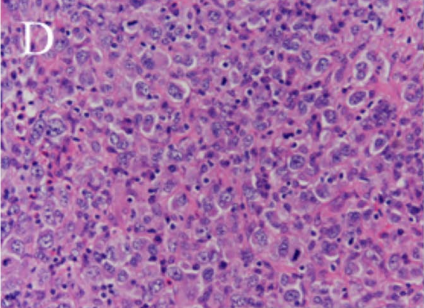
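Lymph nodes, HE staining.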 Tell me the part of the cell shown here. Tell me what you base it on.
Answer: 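Distinct nucleoli. The dots stand out against vesicular chromatin.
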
